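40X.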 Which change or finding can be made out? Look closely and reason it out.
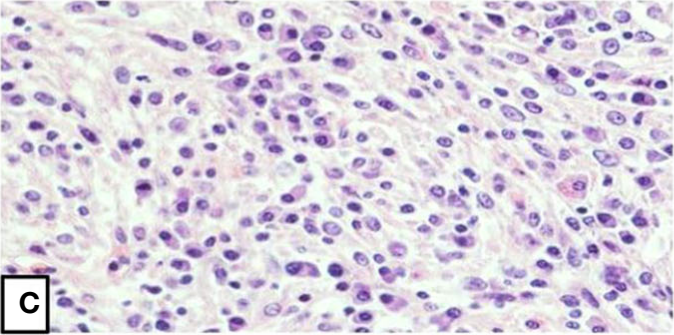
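Small round cells with dark compact nuclei lie scattered among larger oval cells. The larger cells have paler oval nuclei with visible nucleoli. On this evidence: lymphoplasmacytic infiltrate.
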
